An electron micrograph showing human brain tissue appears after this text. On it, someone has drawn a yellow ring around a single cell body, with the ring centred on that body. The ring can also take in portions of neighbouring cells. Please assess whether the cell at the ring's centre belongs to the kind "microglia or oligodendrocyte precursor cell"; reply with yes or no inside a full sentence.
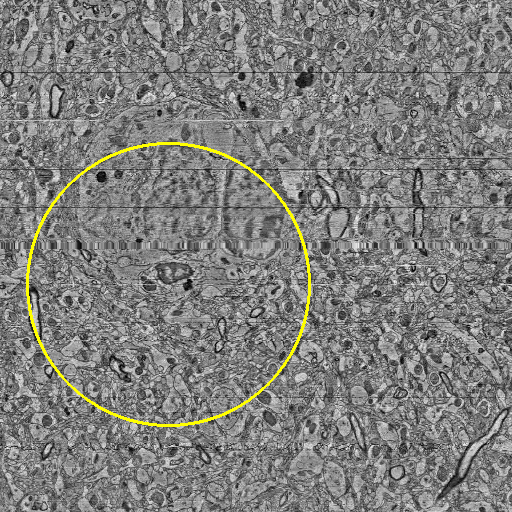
Yes, in this micrograph the cell at the centre of the ring is of that kind.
